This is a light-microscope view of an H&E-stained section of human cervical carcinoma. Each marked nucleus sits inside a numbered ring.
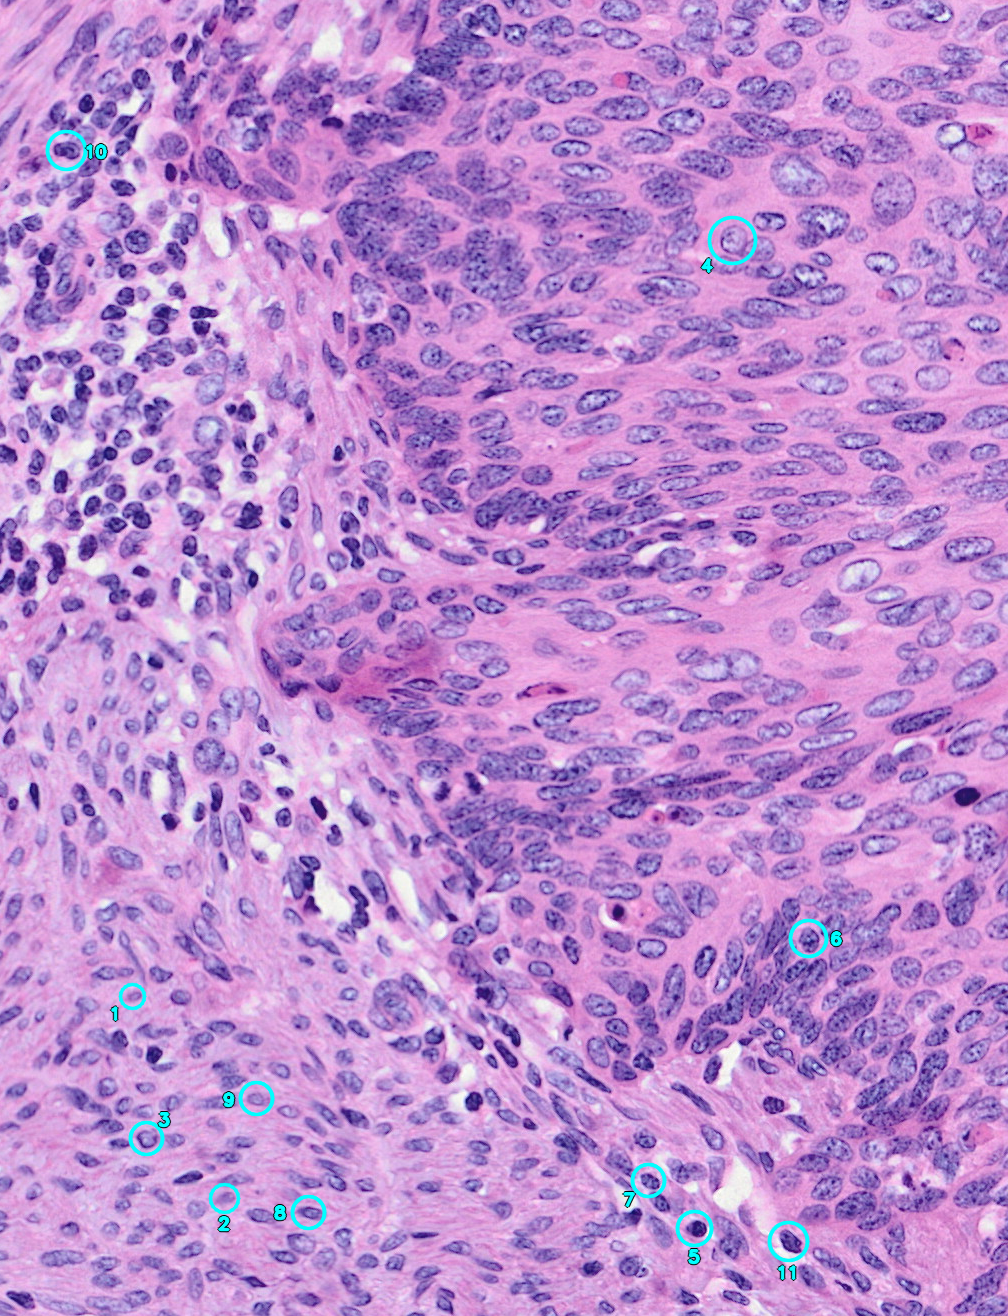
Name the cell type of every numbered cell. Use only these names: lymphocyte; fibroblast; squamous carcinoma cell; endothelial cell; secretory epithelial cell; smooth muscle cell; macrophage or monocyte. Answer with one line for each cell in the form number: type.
1: smooth muscle cell
2: smooth muscle cell
3: smooth muscle cell
4: squamous carcinoma cell
5: lymphocyte
6: squamous carcinoma cell
7: lymphocyte
8: smooth muscle cell
9: smooth muscle cell
10: lymphocyte
11: lymphocyte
